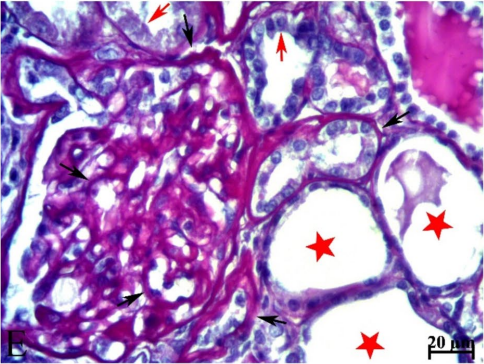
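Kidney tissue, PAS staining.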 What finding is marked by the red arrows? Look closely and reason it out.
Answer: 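The arrows point at the luminal side of small tubules. No continuous magenta fringe lines these lumens.
Answer: loss of brush border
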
